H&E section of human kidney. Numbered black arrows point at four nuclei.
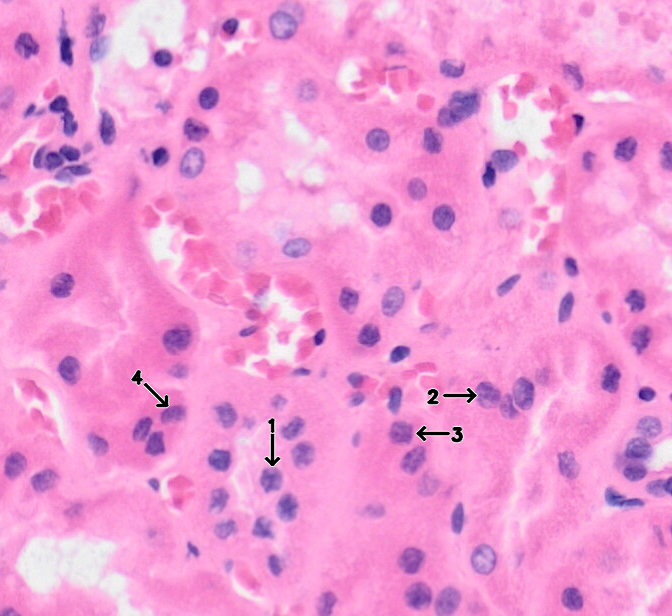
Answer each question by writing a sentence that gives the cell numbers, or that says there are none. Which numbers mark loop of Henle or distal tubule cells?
In contrast to the remaining marked cells, cell 1 is a loop of Henle or distal tubule cell.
